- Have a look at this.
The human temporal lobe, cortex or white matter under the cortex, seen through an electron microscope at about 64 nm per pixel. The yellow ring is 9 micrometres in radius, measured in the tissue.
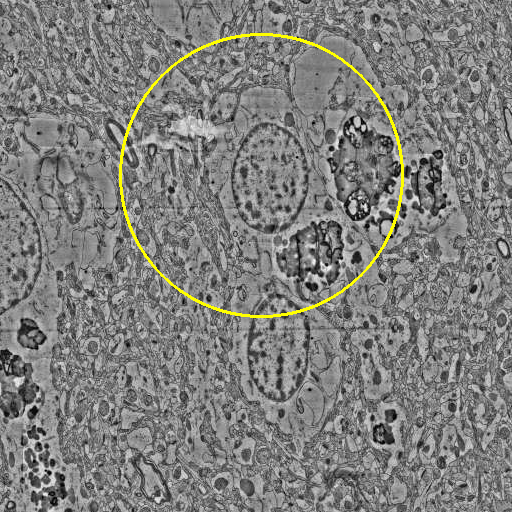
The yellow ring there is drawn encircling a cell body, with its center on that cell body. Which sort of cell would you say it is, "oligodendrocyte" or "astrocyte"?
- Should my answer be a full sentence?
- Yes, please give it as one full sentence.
For this picture, an astrocyte is the cell where the yellow ring has its center.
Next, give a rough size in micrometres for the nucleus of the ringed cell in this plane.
In this plane, the nucleus of the cell at the centre of the ring measures about 7 by 5 micrometres.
